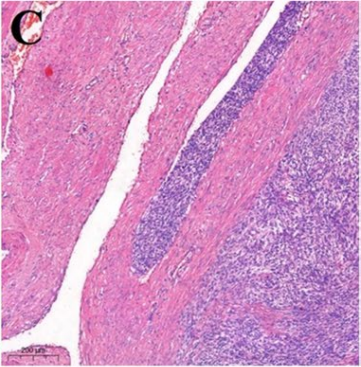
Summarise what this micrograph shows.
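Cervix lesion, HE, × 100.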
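At lower power, pink bundles of smooth muscle fill most of this field. An elongated plug of densely packed, purple-staining tumour cells lies within a channel among the muscle bundles, with a clear cleft-like space beside it. This picture of tumour inside a vascular space is lymphovascular invasion. At the right edge, a broader sheet of the cellular tumour abuts the muscle.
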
